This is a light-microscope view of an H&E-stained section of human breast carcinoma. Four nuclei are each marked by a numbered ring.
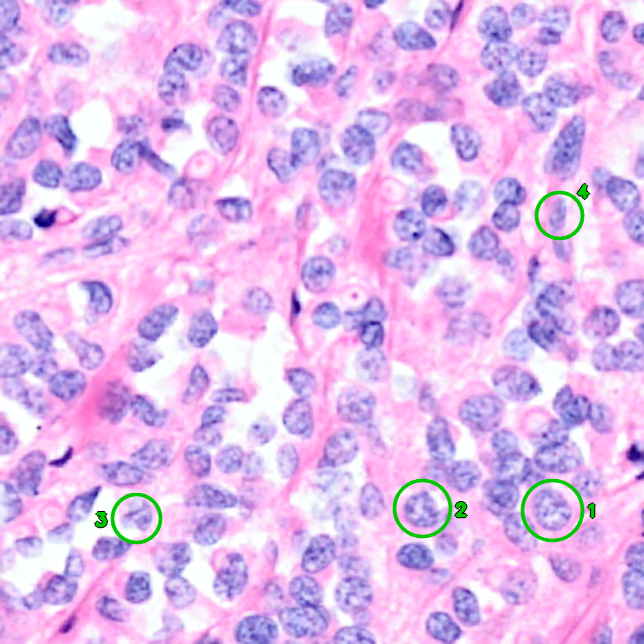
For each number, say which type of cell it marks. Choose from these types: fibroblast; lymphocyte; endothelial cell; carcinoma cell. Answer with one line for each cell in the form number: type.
1: carcinoma cell
2: carcinoma cell
3: carcinoma cell
4: endothelial cell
